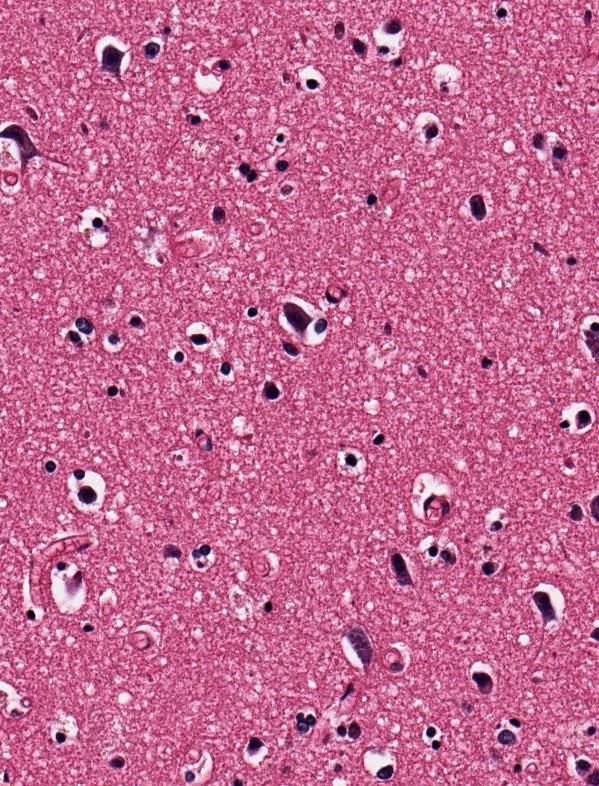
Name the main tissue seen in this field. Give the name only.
cerebral cortex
